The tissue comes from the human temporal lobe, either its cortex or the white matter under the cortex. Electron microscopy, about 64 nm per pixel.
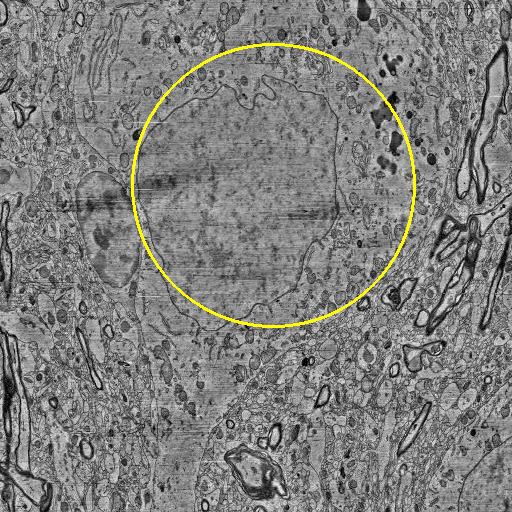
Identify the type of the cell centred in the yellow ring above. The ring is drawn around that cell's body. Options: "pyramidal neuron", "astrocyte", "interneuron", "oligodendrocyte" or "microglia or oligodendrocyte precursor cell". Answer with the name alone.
pyramidal neuron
